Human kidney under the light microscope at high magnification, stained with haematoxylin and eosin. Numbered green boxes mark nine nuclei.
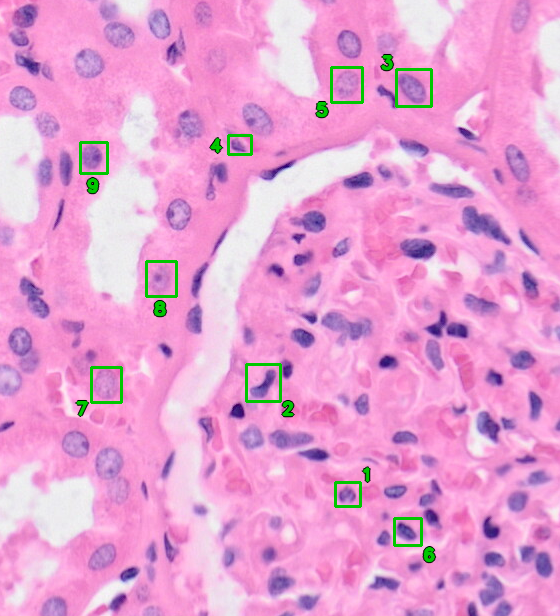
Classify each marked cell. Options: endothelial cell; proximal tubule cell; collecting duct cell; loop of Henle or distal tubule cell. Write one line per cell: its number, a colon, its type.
1: endothelial cell
2: endothelial cell
3: proximal tubule cell
4: endothelial cell
5: proximal tubule cell
6: endothelial cell
7: proximal tubule cell
8: proximal tubule cell
9: proximal tubule cell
